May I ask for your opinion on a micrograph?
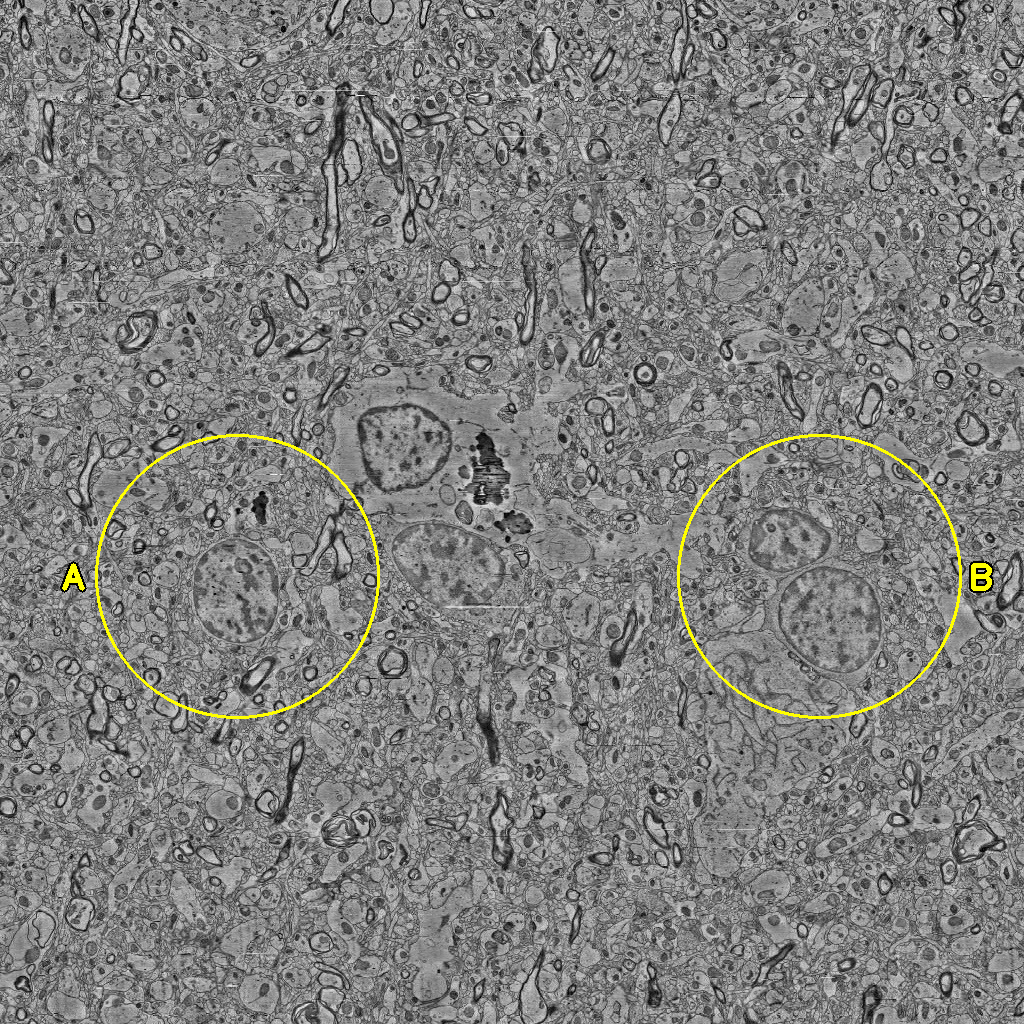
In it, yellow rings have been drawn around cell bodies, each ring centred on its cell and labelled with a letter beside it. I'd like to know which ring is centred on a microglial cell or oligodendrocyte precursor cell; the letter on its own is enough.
A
